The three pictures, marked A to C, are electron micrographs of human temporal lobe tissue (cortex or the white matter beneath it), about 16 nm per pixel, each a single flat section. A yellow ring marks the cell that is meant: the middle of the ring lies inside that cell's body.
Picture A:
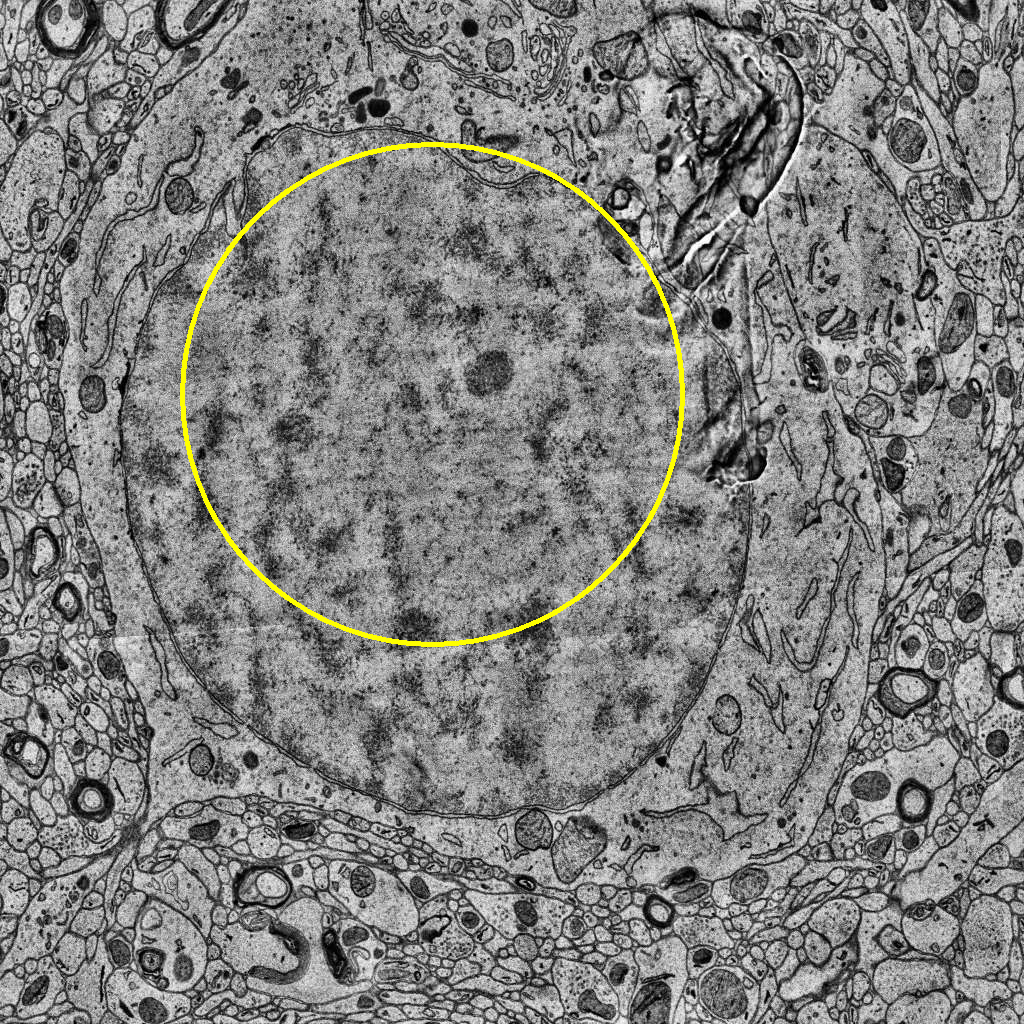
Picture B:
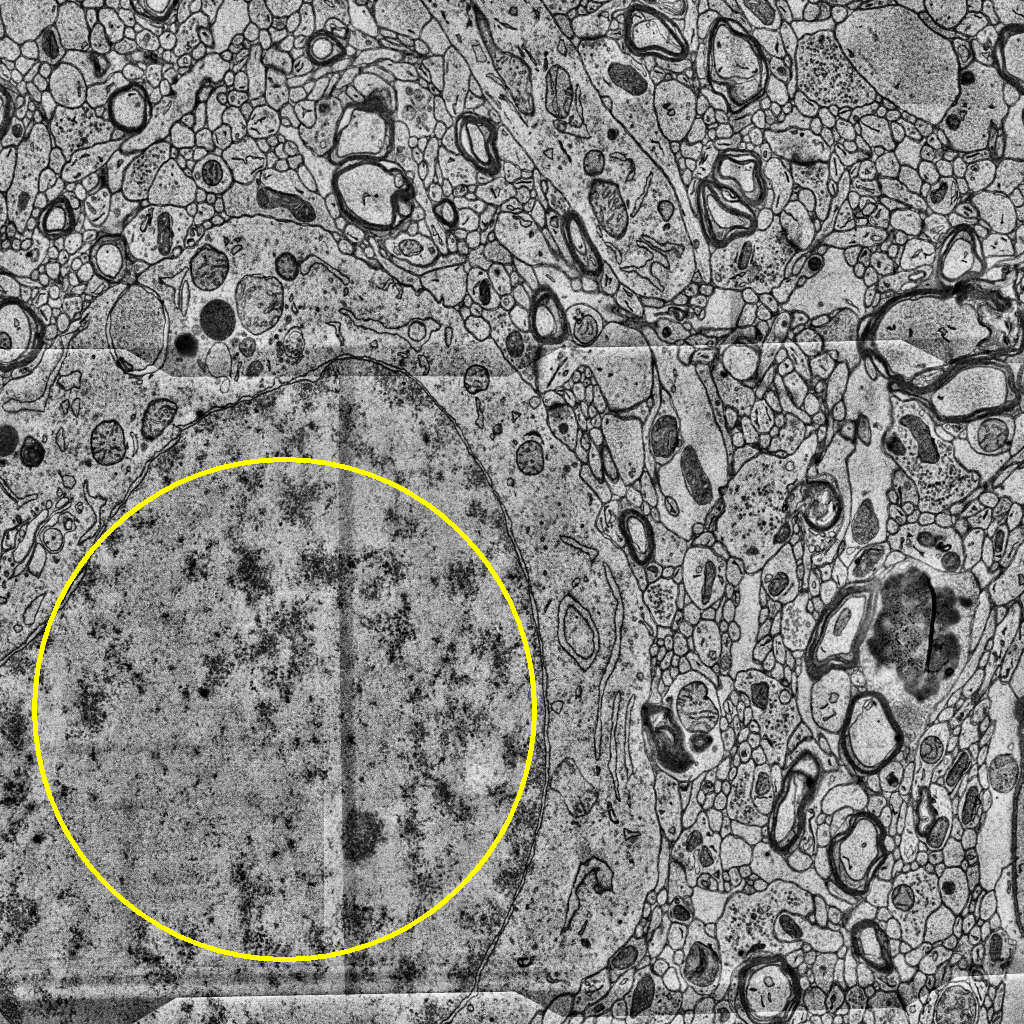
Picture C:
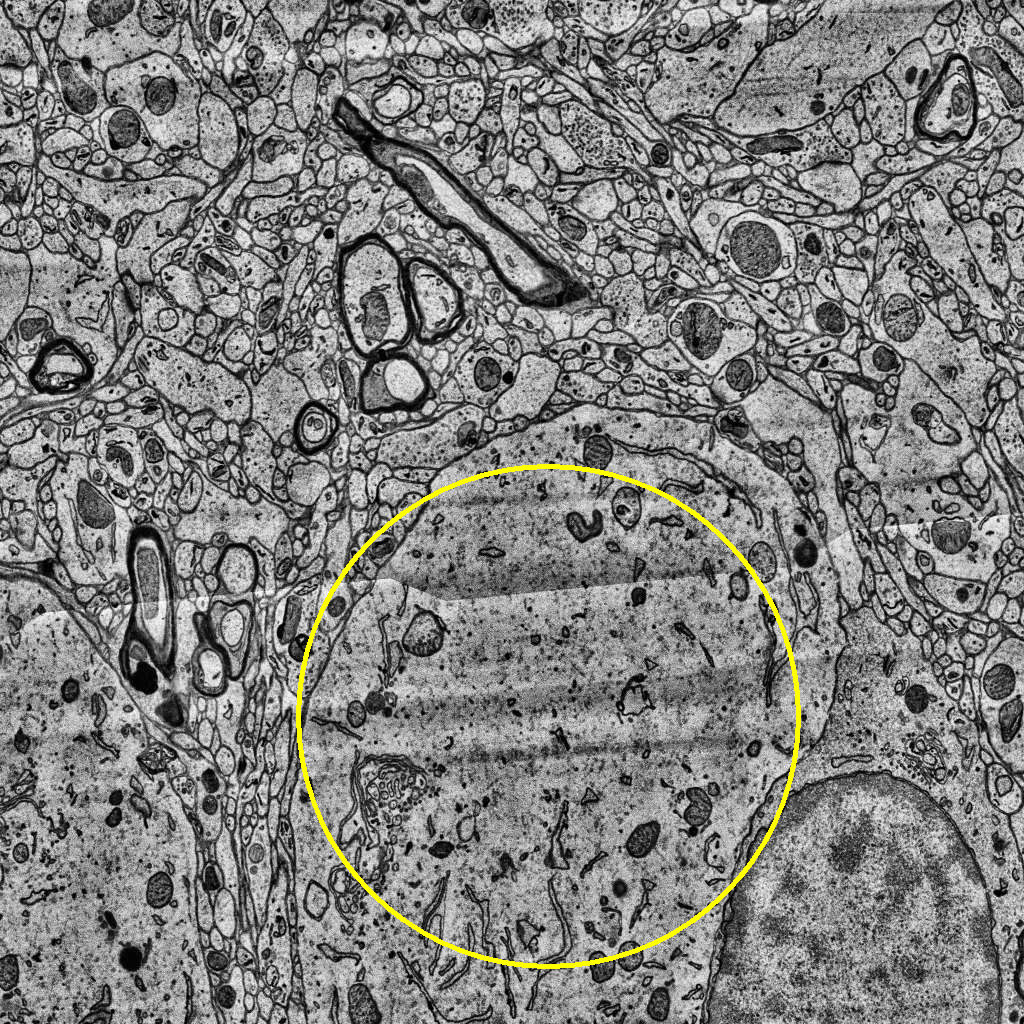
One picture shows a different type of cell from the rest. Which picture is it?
Picture C differs, because its cell is a pyramidal neuron and the rest are interneurons.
